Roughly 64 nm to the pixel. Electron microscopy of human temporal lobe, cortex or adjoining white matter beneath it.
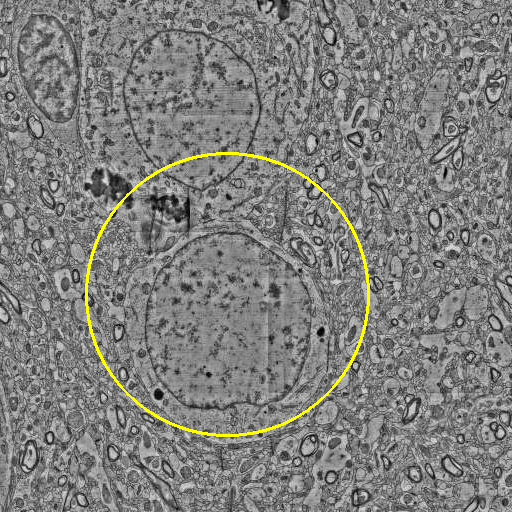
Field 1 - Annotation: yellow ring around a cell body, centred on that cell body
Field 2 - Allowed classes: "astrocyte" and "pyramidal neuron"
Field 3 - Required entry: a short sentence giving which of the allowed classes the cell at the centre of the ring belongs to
The centred cell is a pyramidal neuron.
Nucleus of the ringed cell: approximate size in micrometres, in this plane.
In this plane the ringed cell's nucleus is roughly 11 micrometres across.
